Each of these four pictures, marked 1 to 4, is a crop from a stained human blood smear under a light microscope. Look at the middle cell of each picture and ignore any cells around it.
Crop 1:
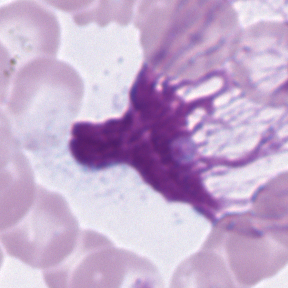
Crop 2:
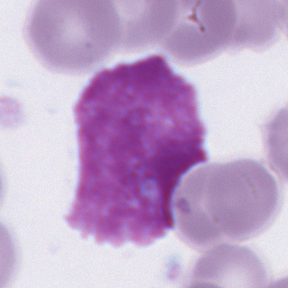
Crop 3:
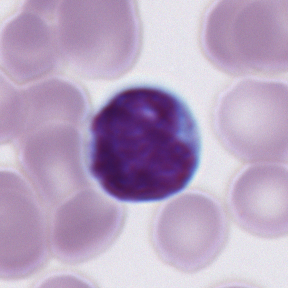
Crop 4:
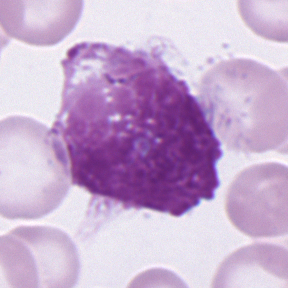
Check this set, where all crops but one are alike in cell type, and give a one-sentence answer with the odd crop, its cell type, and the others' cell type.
Crop 3 does not fit, being a typical lymphocyte where all the others show smudge cells.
